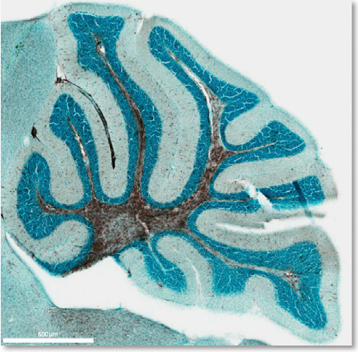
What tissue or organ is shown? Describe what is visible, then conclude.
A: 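Many folded folia branch from a central core. Each folium has a dark blue cell-dense layer beneath a pale outer layer. The answer: cerebellum.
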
